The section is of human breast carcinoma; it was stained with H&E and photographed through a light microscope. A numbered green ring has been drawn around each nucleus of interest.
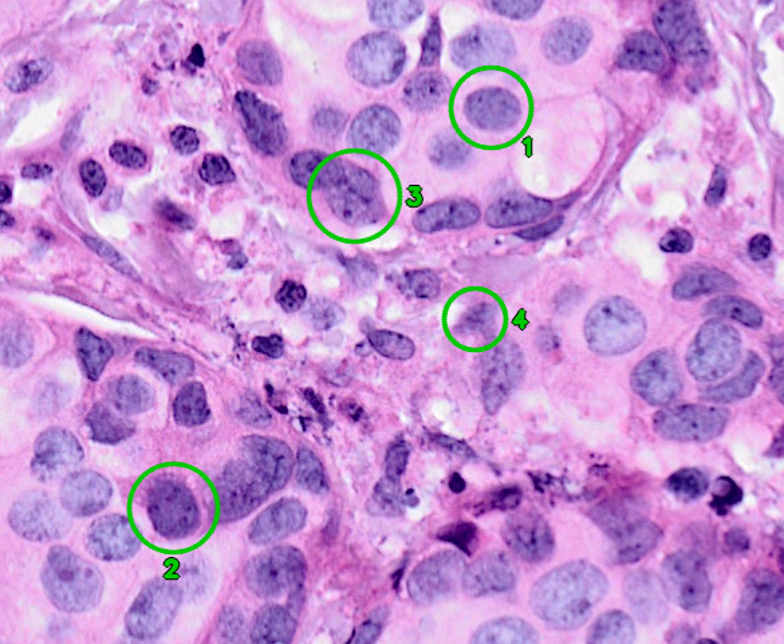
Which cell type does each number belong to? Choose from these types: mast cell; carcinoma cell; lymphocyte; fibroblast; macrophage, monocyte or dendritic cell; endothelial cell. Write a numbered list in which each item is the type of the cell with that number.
1. carcinoma cell
2. carcinoma cell
3. carcinoma cell
4. fibroblast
